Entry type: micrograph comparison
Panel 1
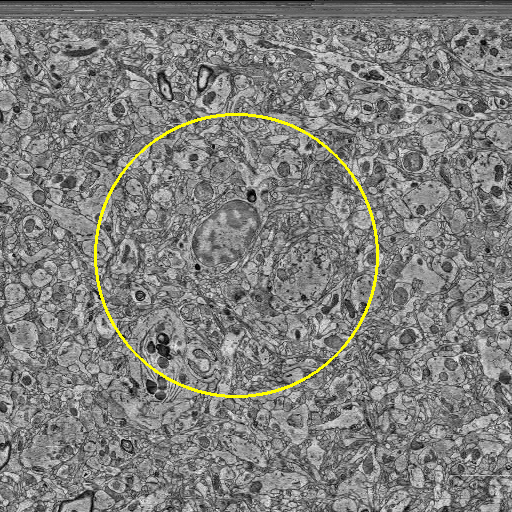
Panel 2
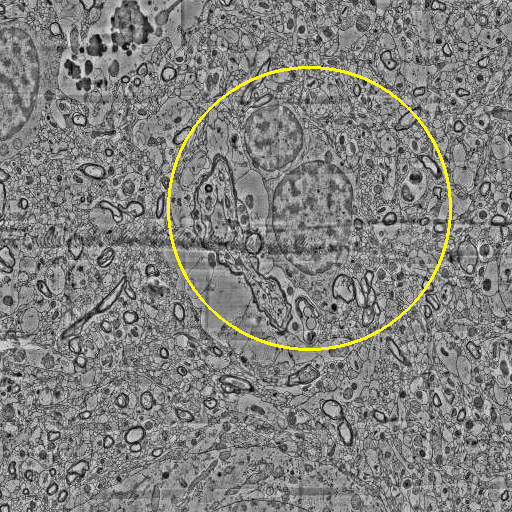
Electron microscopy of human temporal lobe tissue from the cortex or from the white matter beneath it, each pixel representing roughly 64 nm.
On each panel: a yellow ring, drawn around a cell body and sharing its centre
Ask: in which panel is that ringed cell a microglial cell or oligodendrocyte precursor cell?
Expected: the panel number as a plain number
1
